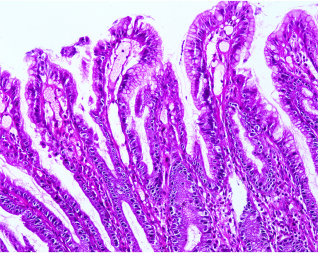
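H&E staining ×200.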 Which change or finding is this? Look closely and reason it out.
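Papillary hyperplasia of gastric surface epithelium. Long slender finger-like projections rise from the surface.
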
